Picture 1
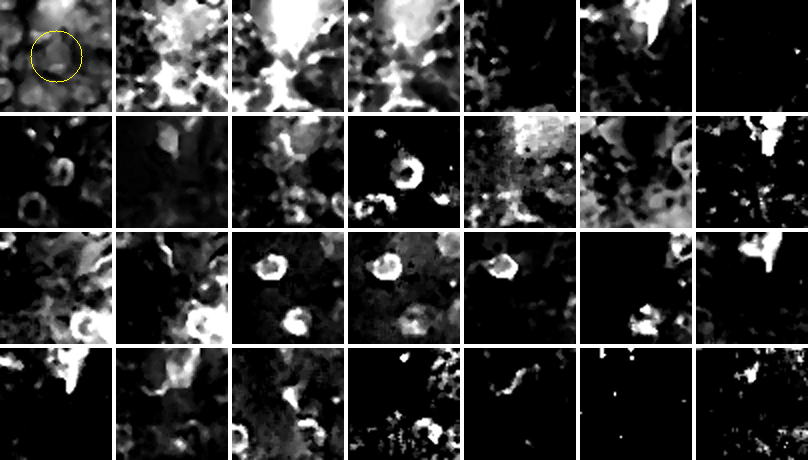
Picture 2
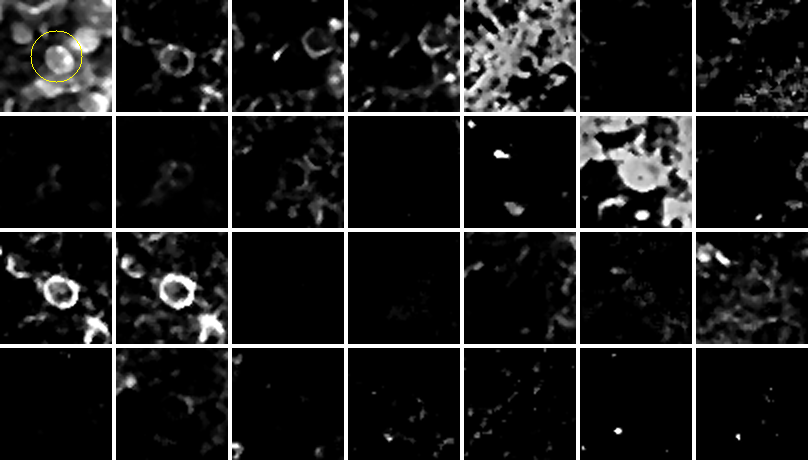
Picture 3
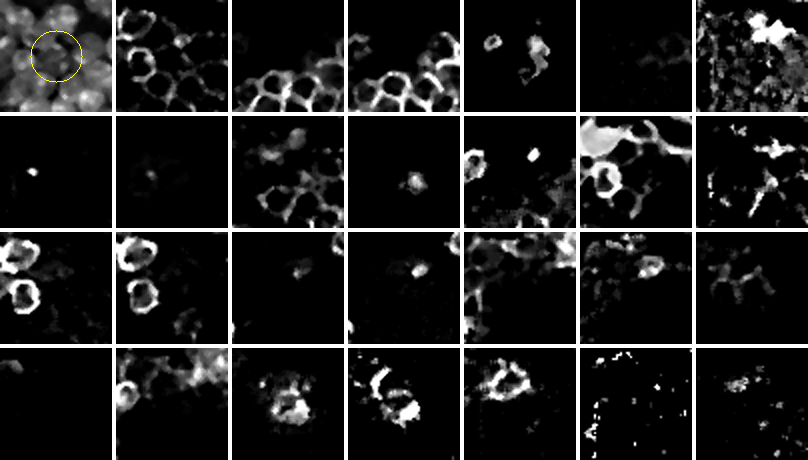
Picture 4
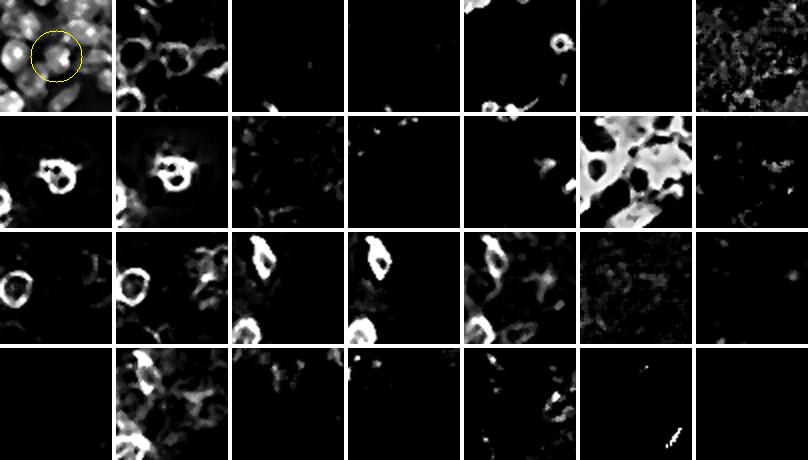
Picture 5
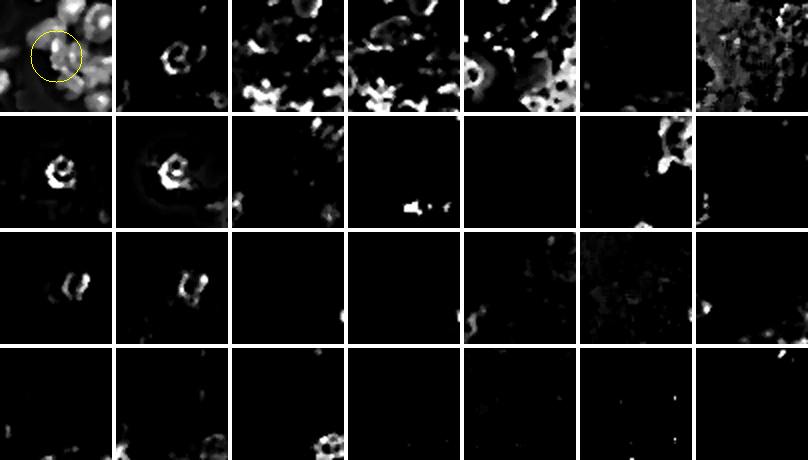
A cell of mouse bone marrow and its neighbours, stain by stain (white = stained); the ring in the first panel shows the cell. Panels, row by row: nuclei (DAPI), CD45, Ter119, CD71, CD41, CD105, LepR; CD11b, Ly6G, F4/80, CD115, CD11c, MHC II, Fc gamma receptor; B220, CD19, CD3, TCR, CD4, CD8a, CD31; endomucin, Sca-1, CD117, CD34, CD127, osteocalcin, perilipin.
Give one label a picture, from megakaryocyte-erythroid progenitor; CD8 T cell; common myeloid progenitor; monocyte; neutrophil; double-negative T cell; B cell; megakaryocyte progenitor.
Picture 1: monocyte
Picture 2: B cell
Picture 3: common myeloid progenitor
Picture 4: neutrophil
Picture 5: neutrophil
